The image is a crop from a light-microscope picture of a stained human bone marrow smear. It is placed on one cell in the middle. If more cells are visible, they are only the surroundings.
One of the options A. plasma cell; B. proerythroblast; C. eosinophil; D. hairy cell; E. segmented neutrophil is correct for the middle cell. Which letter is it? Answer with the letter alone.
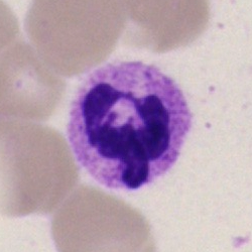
E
